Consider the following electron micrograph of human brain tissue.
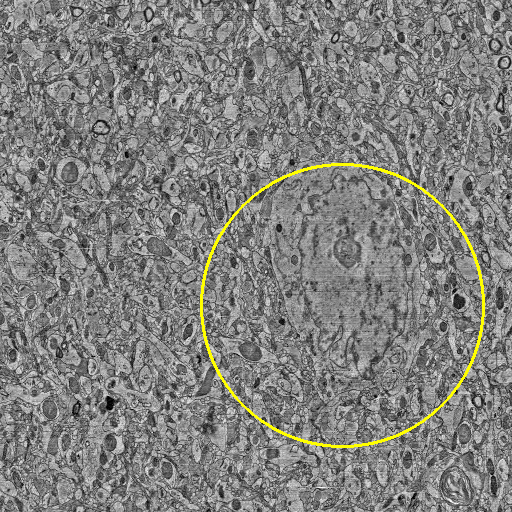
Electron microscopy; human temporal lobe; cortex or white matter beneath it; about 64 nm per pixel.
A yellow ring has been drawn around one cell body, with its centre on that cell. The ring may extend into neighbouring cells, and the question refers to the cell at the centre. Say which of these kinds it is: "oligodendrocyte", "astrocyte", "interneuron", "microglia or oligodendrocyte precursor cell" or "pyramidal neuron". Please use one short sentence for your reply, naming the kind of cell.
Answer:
The centre of the ring falls on an interneuron.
